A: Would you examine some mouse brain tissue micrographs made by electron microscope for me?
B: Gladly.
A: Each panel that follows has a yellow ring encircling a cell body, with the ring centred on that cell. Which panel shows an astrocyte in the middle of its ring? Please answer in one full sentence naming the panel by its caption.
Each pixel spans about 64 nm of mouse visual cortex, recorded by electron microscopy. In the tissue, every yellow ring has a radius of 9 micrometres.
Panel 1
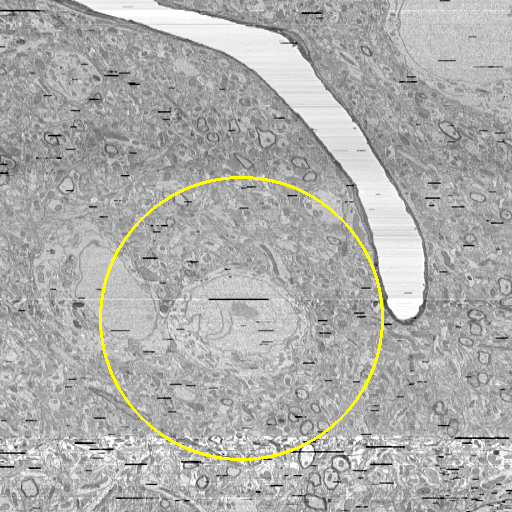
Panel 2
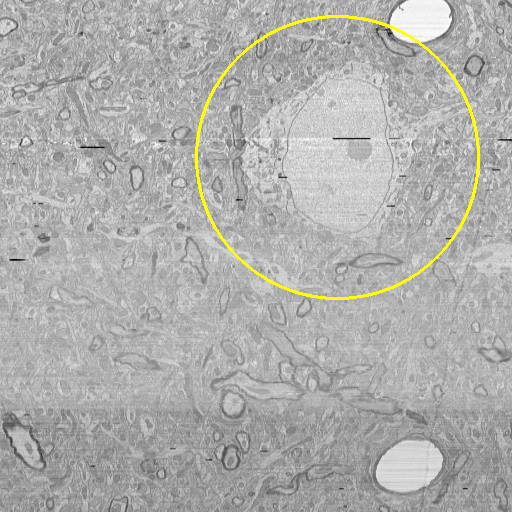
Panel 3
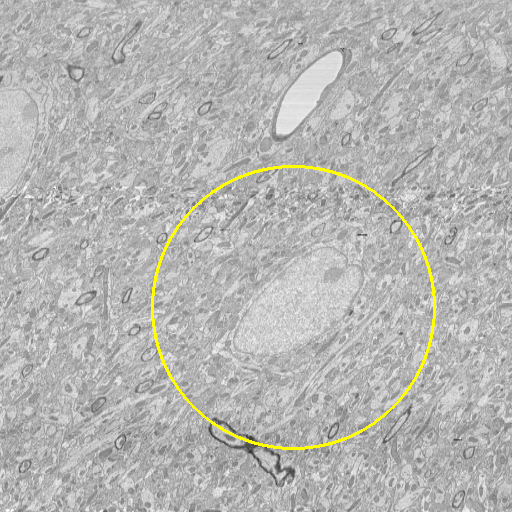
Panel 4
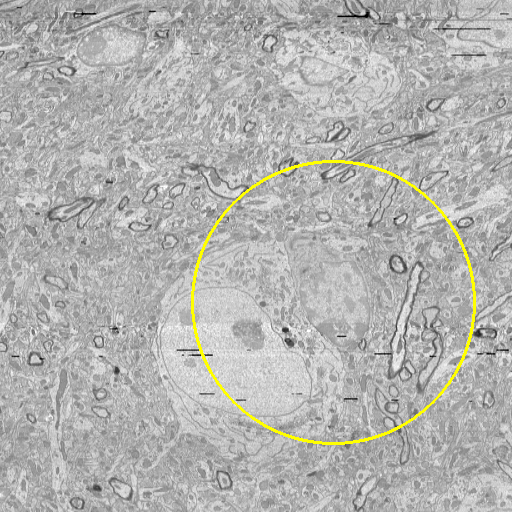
Panel 3 is where the ring sits centred on the requested cell.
